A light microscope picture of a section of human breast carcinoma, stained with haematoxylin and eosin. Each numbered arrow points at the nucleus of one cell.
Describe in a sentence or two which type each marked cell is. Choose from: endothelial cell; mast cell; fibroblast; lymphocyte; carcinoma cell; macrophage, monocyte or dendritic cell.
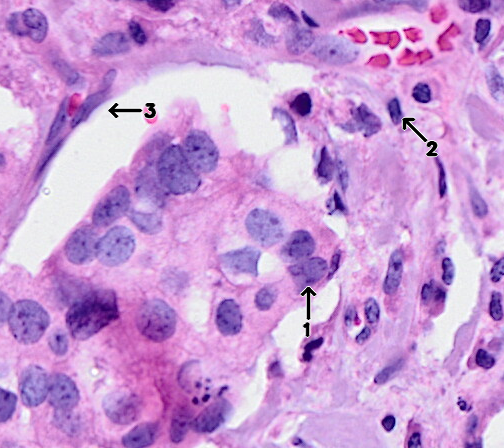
Cell 1 is a carcinoma cell, cell 2 is a lymphocyte and cell 3 is an endothelial cell.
